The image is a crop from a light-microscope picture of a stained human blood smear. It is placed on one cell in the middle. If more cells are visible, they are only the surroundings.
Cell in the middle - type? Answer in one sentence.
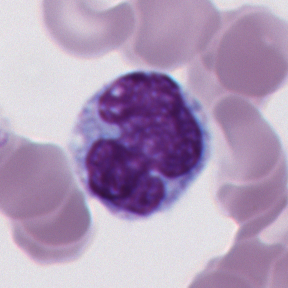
Within this crop, a monocyte occupies the central position.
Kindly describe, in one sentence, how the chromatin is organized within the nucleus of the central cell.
What stands out is chromatin that is coarsely clumped.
